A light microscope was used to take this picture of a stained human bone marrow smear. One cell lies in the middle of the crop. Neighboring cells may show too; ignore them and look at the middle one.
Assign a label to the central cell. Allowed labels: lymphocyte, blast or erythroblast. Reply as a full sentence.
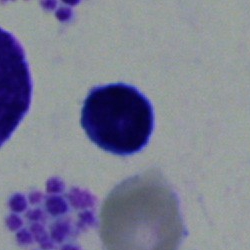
This crop is built around a lymphocyte at its centre.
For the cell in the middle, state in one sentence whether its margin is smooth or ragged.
Nothing juts out from the margin, which is smooth throughout.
